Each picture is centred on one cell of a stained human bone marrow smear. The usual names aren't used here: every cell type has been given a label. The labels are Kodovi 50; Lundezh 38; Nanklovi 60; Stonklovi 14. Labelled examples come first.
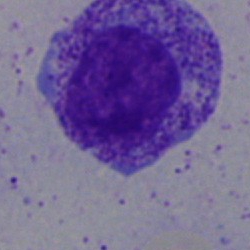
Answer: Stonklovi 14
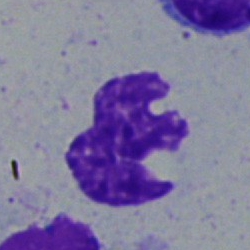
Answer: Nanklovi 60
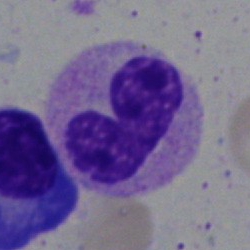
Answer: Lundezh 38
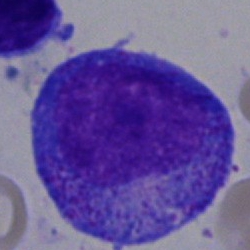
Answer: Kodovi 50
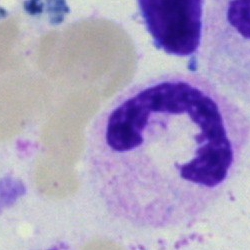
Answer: Nanklovi 60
